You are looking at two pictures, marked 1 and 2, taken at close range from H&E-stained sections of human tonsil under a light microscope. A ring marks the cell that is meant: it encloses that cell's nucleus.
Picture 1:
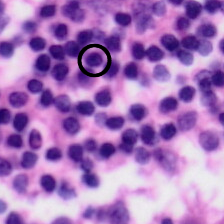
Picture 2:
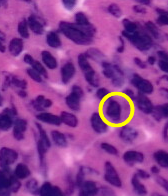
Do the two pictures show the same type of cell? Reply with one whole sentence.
No; the cell in picture 1 is a small lymphocyte, while the one in picture 2 is a plasma cell.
